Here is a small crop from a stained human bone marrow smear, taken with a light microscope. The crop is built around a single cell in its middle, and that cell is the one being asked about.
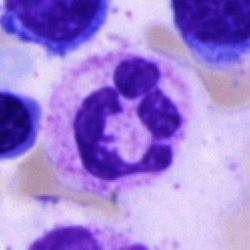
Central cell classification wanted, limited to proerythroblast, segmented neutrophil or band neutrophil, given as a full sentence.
The cell found in the middle of this crop is a segmented neutrophil.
